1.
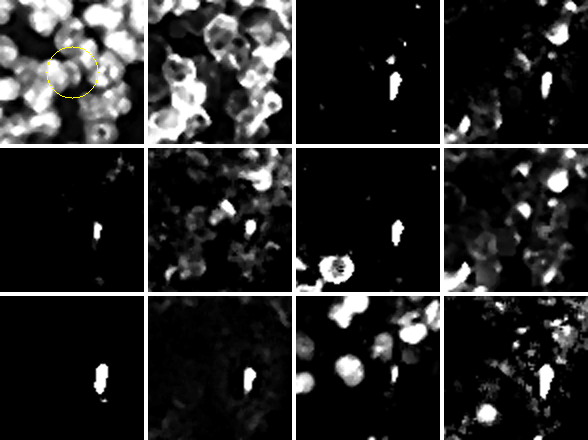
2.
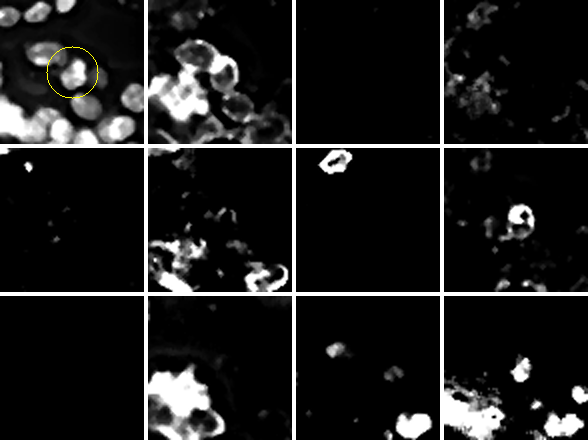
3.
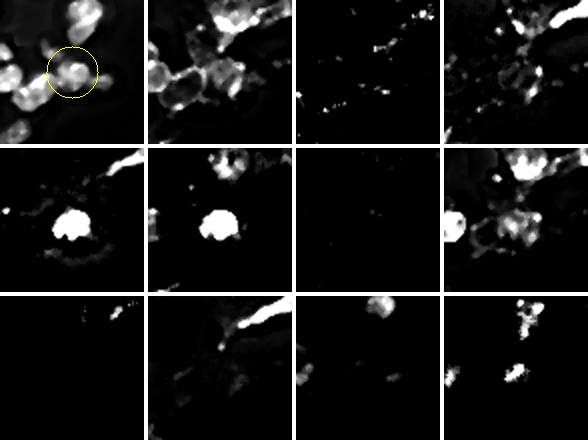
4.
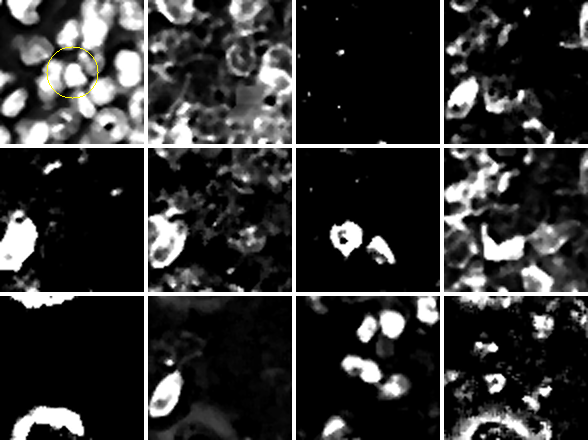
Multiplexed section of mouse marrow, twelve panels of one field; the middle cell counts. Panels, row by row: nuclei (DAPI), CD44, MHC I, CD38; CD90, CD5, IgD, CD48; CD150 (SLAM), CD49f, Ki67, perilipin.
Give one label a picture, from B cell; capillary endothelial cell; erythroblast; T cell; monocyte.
(1) erythroblast
(2) monocyte
(3) T cell
(4) erythroblast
